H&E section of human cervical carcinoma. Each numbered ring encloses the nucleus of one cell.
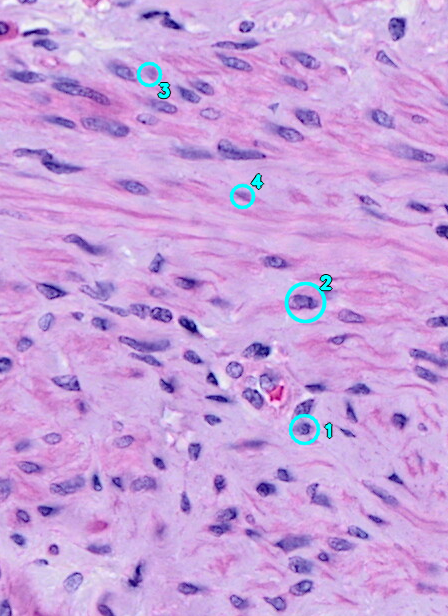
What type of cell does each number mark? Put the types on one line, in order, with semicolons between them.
fibroblast; smooth muscle cell; smooth muscle cell; smooth muscle cell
